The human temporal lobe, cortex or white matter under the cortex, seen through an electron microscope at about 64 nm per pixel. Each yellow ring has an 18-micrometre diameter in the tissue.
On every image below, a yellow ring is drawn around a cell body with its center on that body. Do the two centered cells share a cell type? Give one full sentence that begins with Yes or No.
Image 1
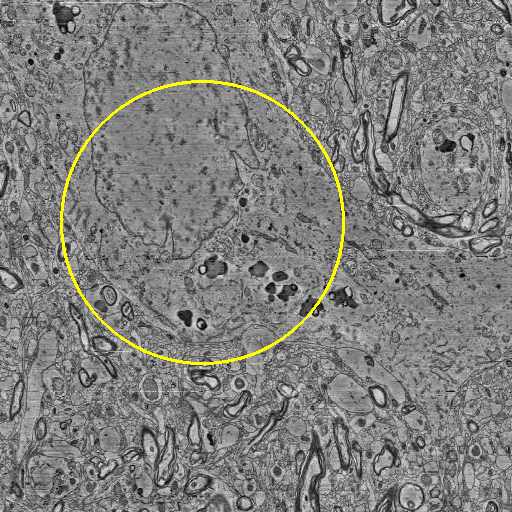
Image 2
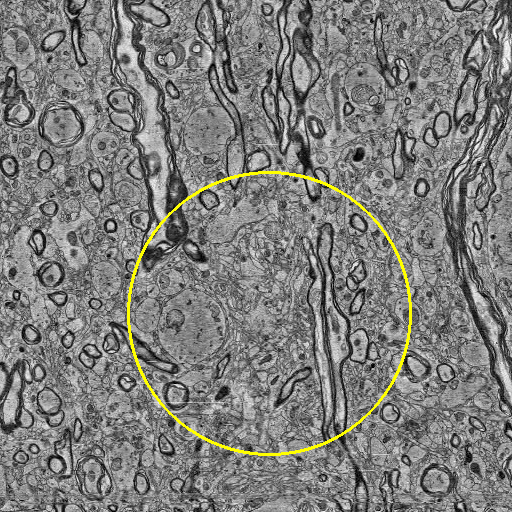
No, the centered cells in the two images are of two separate cell types.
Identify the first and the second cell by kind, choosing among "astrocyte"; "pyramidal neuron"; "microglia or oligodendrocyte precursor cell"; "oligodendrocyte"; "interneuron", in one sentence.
The one in the first picture is a pyramidal neuron, while the one in the second is an oligodendrocyte.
